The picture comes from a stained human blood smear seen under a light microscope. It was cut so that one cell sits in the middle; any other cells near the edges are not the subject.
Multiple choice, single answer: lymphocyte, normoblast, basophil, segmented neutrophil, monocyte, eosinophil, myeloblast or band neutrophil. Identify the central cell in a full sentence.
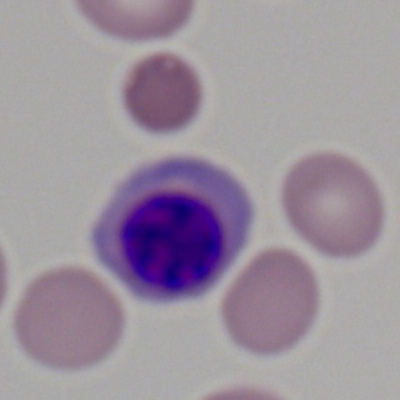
In short, the cell at the center is a normoblast.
